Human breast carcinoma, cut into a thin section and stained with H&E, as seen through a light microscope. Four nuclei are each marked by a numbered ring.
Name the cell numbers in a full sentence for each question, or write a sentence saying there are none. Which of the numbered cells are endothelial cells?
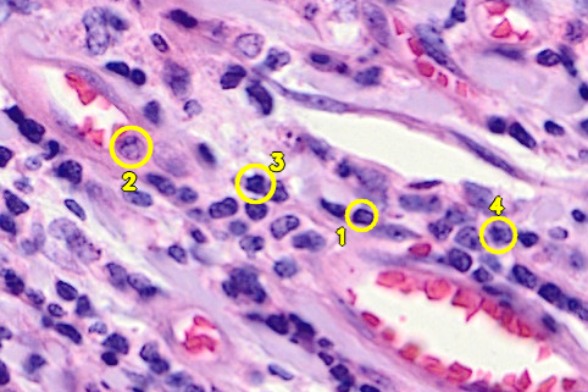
Only one marked cell, number 2, is an endothelial cell.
